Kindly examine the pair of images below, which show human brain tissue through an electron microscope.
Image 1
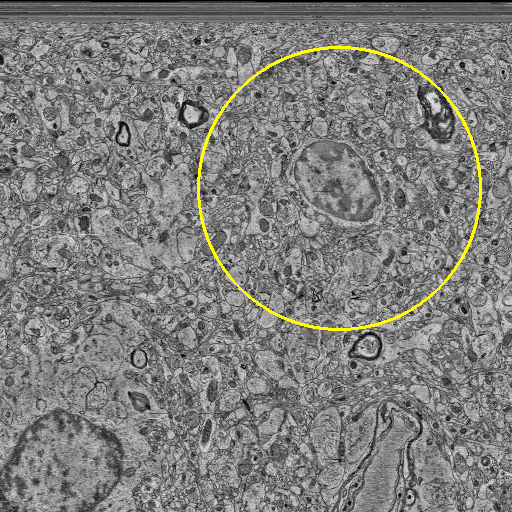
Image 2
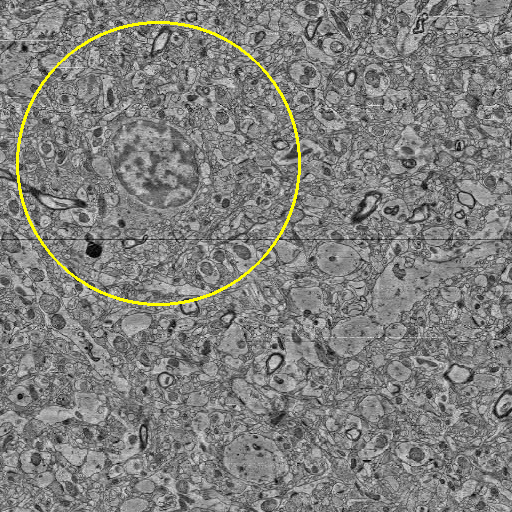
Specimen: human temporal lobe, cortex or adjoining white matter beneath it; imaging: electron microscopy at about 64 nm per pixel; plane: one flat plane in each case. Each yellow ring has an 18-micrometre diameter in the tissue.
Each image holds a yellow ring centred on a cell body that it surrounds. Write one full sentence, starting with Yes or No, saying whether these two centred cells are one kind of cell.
No, the cells at the centres of the yellow rings belong to two kinds of cell.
